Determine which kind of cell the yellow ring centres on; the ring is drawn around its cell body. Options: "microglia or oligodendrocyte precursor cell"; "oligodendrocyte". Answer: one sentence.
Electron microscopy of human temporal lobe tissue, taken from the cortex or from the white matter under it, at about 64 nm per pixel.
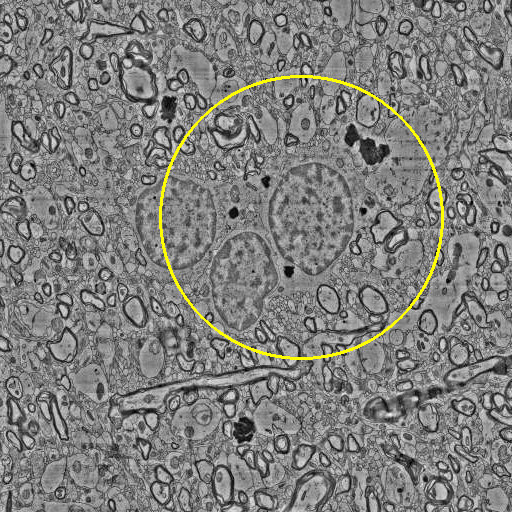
The ring centres on an oligodendrocyte.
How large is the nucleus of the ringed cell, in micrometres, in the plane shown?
Roughly 7 by 5 micrometres is the size of the nucleus in this plane.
